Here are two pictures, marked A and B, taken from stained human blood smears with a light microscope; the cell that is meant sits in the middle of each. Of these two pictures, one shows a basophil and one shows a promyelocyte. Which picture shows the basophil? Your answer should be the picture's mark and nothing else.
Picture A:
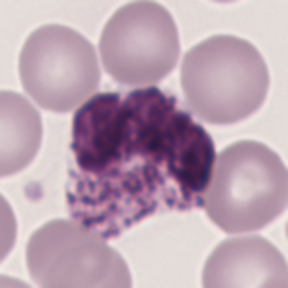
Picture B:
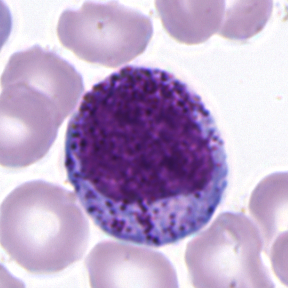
A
